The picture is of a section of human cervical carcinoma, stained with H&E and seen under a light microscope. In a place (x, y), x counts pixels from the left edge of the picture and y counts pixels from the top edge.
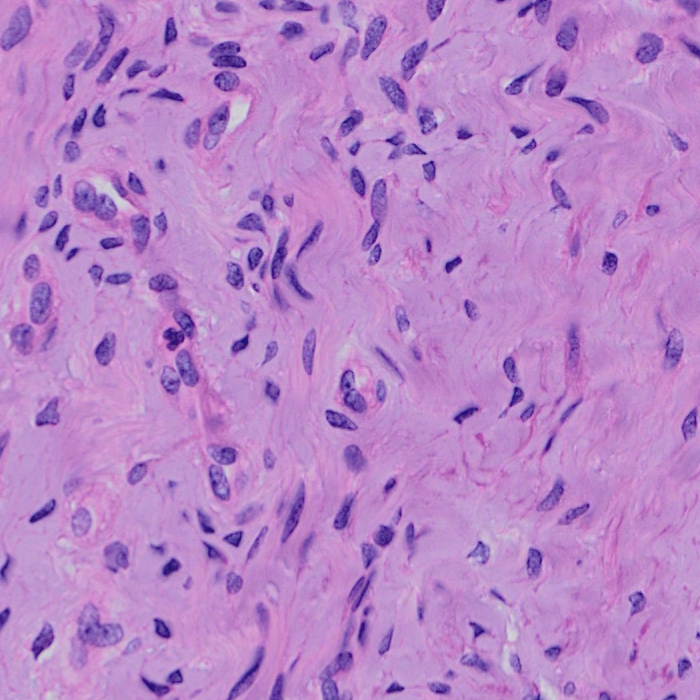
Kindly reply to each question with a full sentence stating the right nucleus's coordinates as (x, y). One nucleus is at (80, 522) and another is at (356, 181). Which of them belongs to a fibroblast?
The nucleus at (356, 181) is attributed to a fibroblast, unlike the other nucleus.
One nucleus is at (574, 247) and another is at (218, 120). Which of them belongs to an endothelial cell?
The nucleus at (218, 120) is the one that belongs to an endothelial cell.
